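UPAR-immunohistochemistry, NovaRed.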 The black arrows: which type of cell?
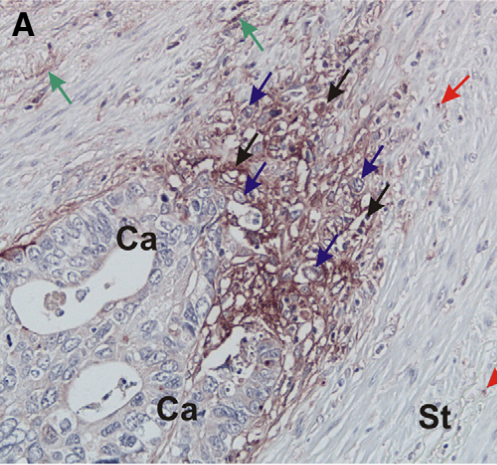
Macrophages.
